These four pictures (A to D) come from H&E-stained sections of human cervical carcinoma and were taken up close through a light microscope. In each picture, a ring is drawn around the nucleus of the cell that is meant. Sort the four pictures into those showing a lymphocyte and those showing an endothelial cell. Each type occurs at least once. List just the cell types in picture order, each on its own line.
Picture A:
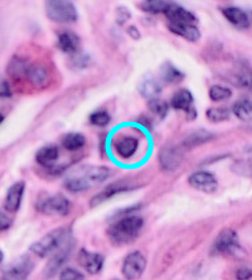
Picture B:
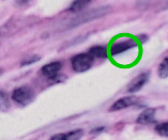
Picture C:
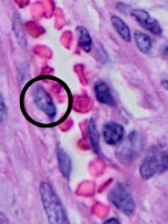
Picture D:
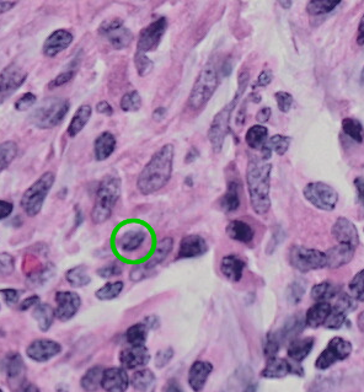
lymphocyte
lymphocyte
endothelial cell
lymphocyte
